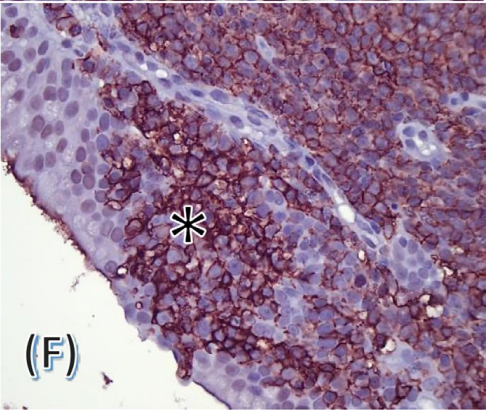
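This shows a surface epithelium along the lower left edge with many round tumour cells beneath and within it. The tumour cells are outlined by a brown membrane stain, forming a honeycomb pattern, and they crowd into the lower layers of the epithelium. The epithelial cells have oval blue nuclei and remain unstained. A thin band of pale connective tissue with a small vessel separates part of the epithelium from the underlying sheet of brown-outlined cells.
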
